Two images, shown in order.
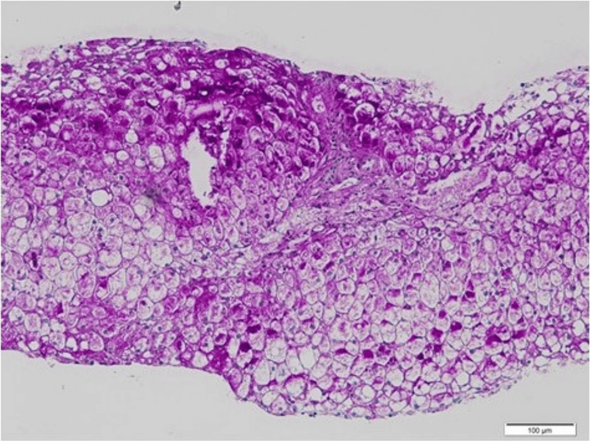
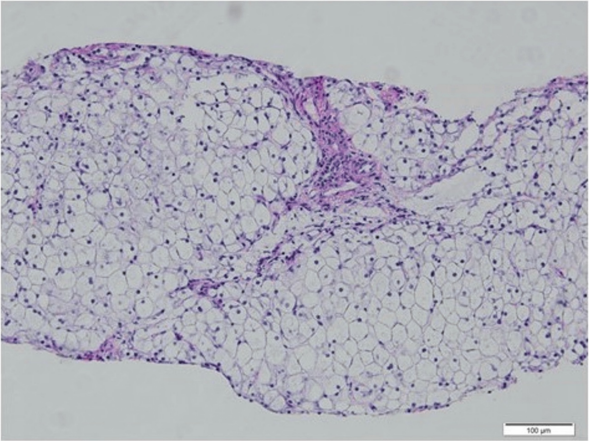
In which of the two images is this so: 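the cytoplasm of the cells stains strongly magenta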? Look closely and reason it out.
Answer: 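Second image: cells are pale with clear cytoplasm and only faint purple outlines. First image: many cells have intense magenta-stained cytoplasm.
Conclusion: the first image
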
